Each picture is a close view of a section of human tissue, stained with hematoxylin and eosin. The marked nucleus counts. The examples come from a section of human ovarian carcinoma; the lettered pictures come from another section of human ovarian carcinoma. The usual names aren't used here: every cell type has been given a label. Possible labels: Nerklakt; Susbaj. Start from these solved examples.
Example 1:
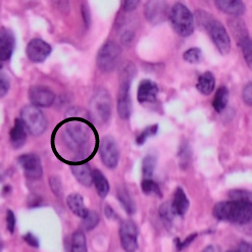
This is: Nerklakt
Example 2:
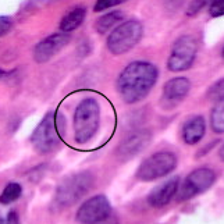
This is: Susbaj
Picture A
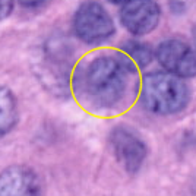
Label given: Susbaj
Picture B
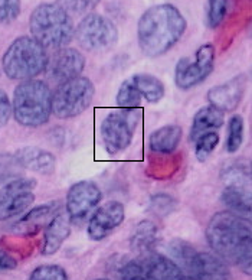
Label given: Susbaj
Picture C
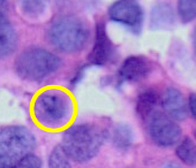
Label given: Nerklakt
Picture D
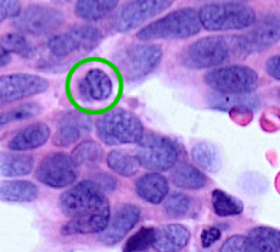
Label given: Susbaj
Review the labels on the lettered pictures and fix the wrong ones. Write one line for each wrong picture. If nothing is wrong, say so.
A is labelled Susbaj; correct label: Nerklakt
C is labelled Nerklakt; correct label: Susbaj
